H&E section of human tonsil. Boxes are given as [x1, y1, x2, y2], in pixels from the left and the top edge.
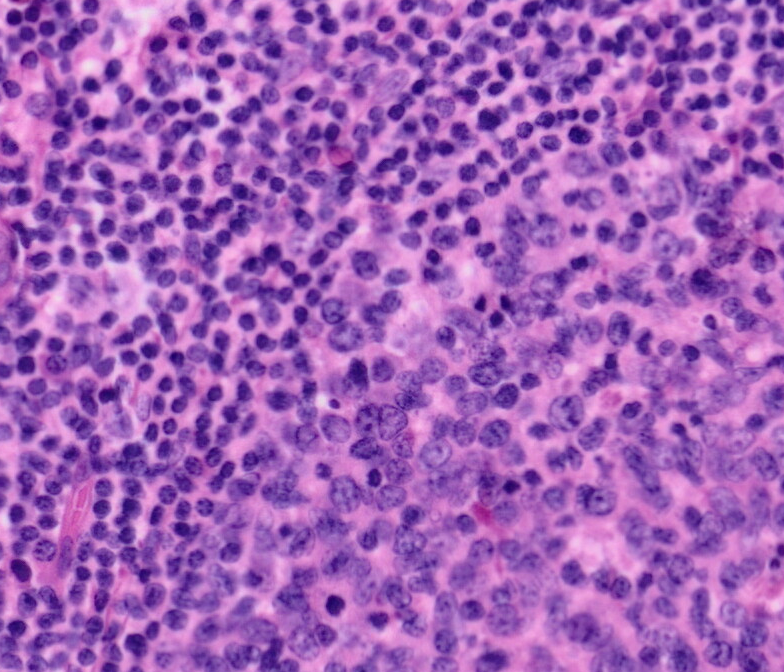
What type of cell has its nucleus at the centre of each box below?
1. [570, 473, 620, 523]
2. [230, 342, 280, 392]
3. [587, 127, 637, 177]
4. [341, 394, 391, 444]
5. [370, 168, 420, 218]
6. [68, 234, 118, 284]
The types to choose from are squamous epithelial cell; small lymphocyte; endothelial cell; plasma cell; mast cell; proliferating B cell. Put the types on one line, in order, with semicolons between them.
proliferating B cell; small lymphocyte; proliferating B cell; proliferating B cell; small lymphocyte; small lymphocyte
